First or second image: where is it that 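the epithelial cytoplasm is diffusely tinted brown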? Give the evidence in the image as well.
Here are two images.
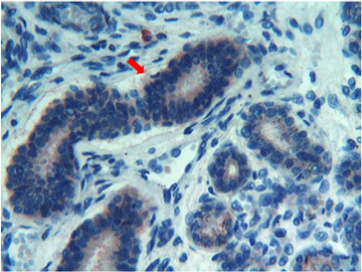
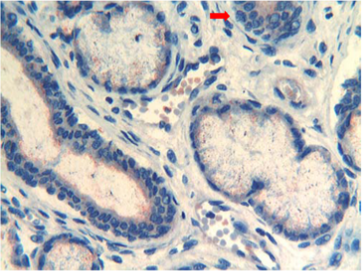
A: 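Second image: the large acini have pale, foamy cytoplasm with only faint scattered brownish granules. First image: the cells lining the tubes show a diffuse brownish tint in their cytoplasm. So: the first image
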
